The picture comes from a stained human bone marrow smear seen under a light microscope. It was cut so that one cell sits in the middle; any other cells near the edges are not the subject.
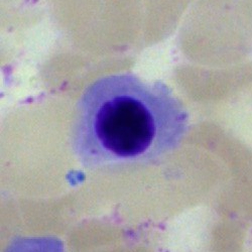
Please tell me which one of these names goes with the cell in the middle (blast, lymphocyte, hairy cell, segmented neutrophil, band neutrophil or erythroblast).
erythroblast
